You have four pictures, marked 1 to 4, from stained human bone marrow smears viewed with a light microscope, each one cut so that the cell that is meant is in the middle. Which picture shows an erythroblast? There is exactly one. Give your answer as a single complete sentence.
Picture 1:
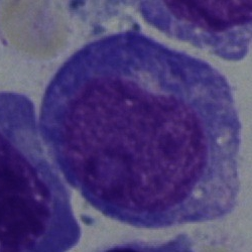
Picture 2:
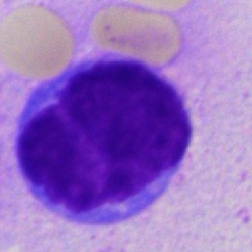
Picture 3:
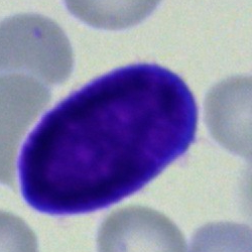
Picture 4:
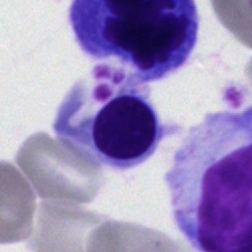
Picture 4 shows the erythroblast.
